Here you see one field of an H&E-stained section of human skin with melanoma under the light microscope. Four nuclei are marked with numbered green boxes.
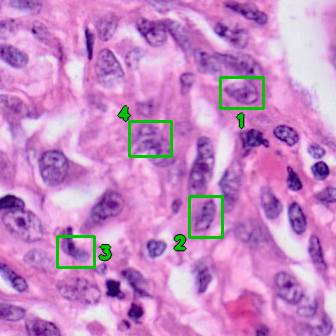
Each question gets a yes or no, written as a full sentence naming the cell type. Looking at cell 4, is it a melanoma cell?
Yes, the numbered cell 4 is identified as a melanoma cell.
